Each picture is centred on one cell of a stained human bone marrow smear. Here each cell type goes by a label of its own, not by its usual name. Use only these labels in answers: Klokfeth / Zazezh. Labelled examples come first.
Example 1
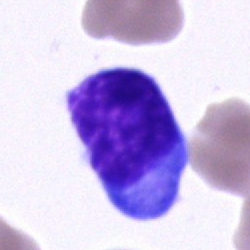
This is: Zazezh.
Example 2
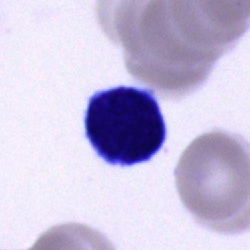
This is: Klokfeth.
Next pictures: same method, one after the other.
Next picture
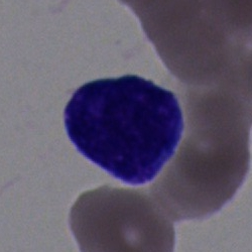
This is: Zazezh.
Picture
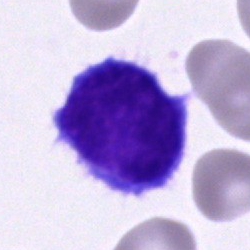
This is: Klokfeth.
